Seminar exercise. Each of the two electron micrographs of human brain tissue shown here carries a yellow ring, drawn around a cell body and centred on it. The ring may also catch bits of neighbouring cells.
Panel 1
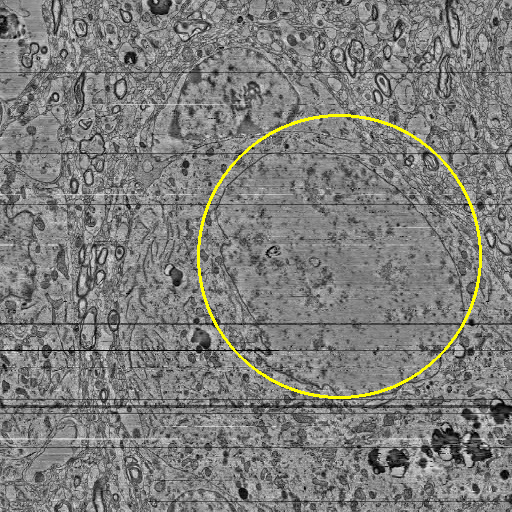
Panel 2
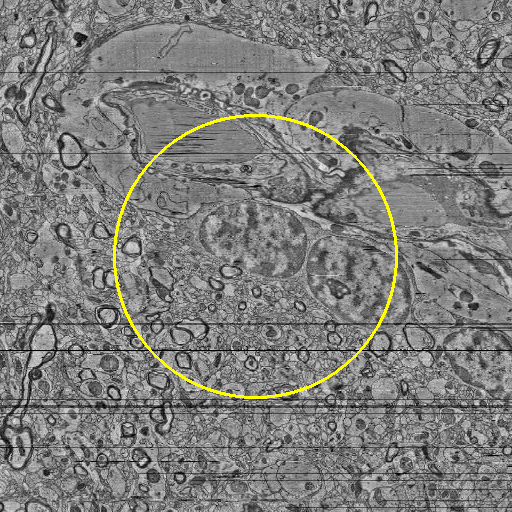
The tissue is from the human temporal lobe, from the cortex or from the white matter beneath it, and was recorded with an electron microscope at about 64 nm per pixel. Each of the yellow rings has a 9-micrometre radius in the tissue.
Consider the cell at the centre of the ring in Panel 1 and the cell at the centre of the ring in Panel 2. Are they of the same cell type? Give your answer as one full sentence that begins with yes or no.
No, the two cells are of two types.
